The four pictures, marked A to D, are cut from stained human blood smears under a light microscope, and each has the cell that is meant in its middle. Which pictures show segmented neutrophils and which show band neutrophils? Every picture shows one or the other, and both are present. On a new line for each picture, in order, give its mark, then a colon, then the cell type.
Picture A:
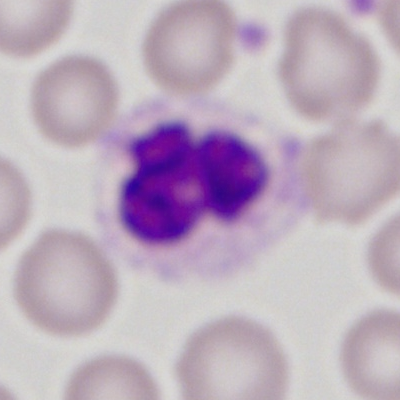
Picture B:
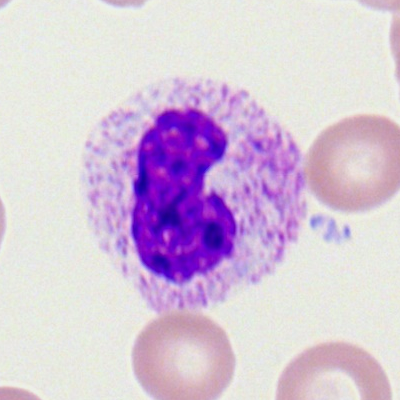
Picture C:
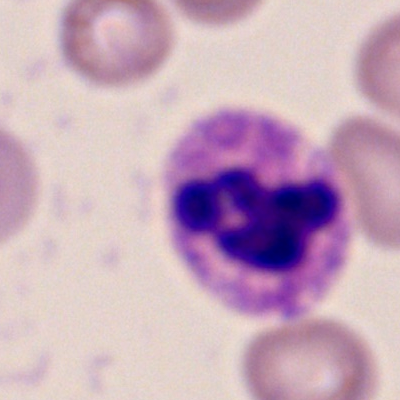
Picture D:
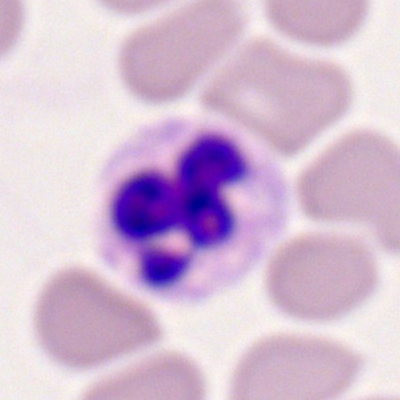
A: segmented neutrophil
B: band neutrophil
C: segmented neutrophil
D: segmented neutrophil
